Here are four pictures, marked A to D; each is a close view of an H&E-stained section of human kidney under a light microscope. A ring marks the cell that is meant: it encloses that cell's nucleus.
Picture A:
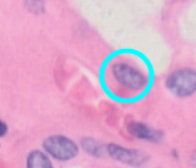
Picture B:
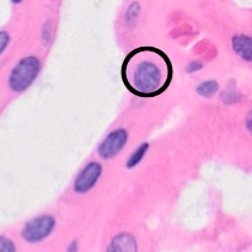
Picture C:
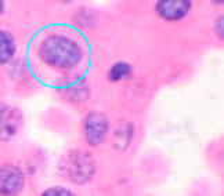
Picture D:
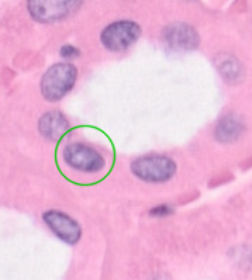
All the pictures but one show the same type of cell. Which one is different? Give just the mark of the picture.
B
